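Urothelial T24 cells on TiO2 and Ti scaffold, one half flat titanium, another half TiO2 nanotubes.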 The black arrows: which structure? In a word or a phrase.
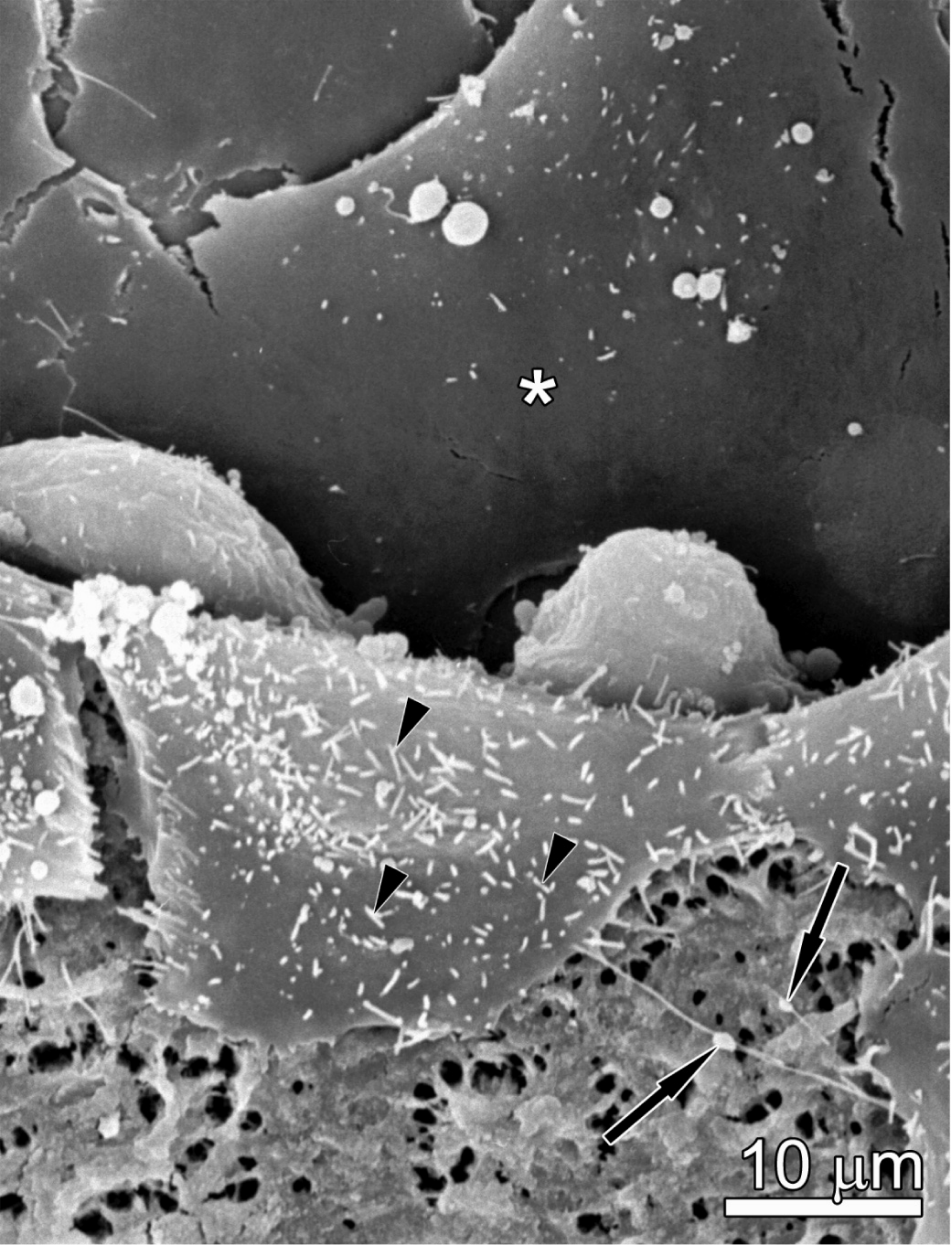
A: gondola-like structures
